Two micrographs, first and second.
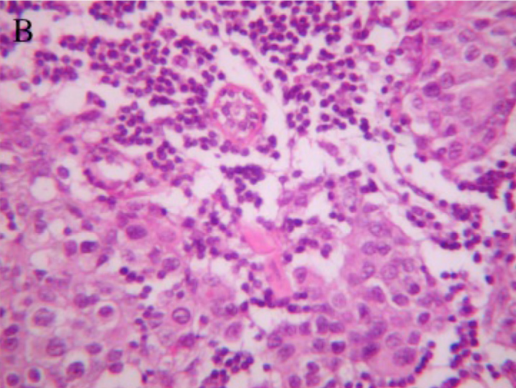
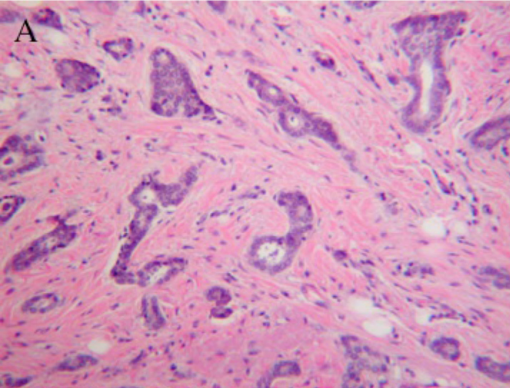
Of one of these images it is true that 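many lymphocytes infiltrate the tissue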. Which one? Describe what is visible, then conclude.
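The first image. First image: numerous small dark round lymphocyte nuclei fill the spaces between tumour cells.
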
